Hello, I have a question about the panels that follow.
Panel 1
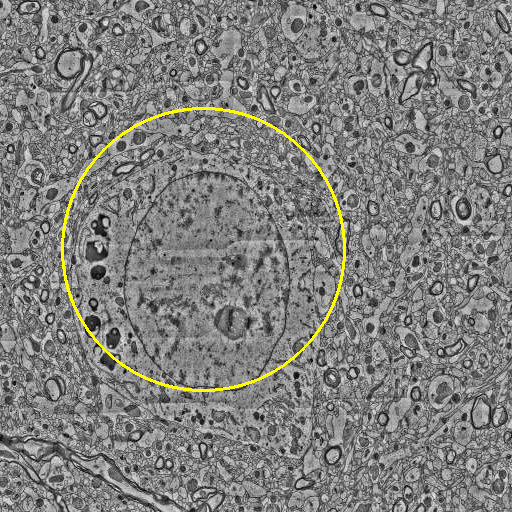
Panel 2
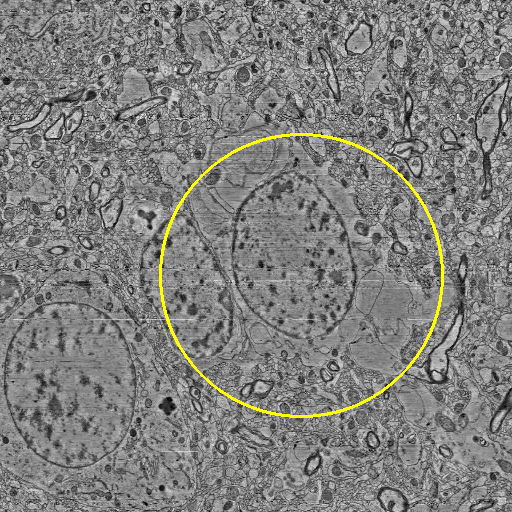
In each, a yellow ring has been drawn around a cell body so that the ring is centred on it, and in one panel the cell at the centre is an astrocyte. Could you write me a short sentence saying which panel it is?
It is Panel 2.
